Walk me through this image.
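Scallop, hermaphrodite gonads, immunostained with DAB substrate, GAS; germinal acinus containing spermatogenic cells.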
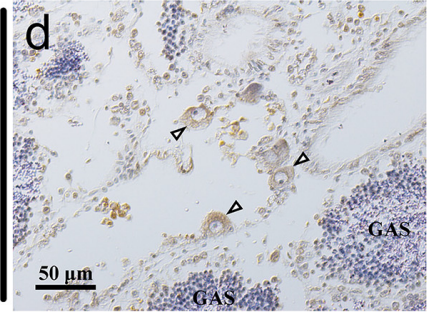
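In the loose tissue lie scattered small round cells, many with light brown staining. Much of the space between acini is open and only sparsely cellular.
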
